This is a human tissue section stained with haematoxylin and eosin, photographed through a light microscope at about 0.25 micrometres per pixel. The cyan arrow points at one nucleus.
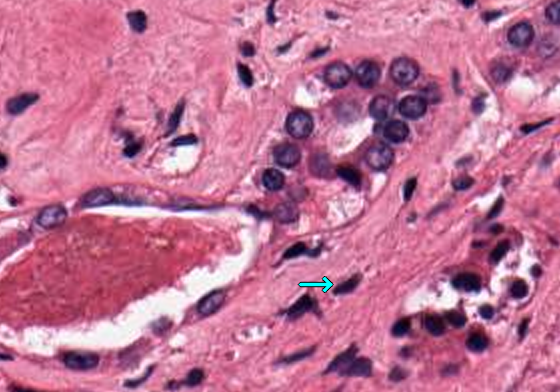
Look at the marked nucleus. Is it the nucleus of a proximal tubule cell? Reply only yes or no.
no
